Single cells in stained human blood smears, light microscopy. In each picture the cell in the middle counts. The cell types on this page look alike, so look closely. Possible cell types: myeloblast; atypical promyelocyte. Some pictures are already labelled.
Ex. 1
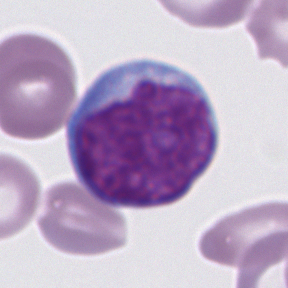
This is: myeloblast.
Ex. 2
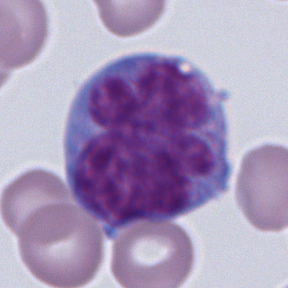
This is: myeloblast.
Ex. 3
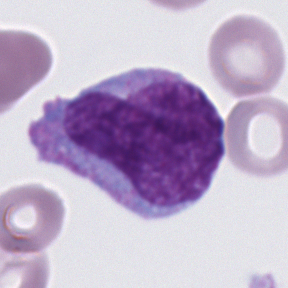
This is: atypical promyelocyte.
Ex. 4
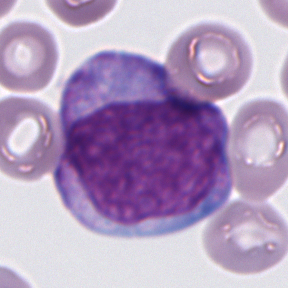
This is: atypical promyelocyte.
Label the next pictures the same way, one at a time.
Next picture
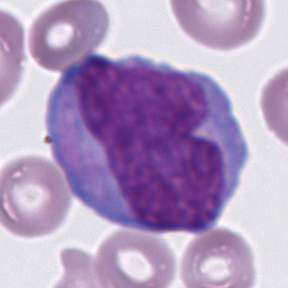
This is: atypical promyelocyte.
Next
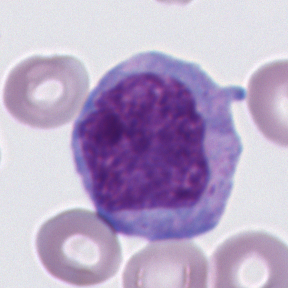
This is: atypical promyelocyte.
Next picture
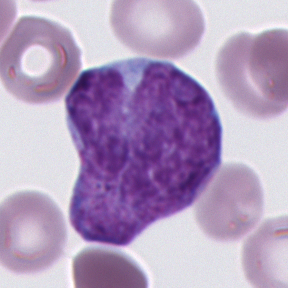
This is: atypical promyelocyte.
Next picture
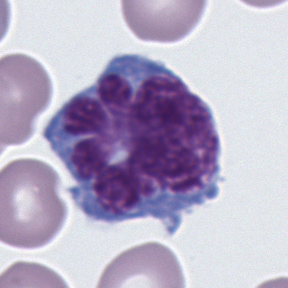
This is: myeloblast.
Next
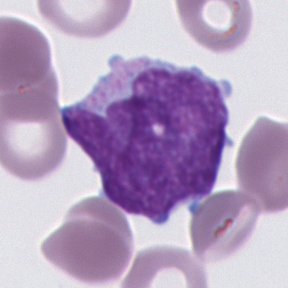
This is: atypical promyelocyte.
